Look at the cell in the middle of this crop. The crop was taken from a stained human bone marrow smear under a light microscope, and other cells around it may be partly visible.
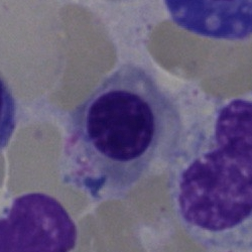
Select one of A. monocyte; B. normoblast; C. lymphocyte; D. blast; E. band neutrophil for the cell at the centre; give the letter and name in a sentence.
That middle cell is a normoblast, and option B is therefore correct.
